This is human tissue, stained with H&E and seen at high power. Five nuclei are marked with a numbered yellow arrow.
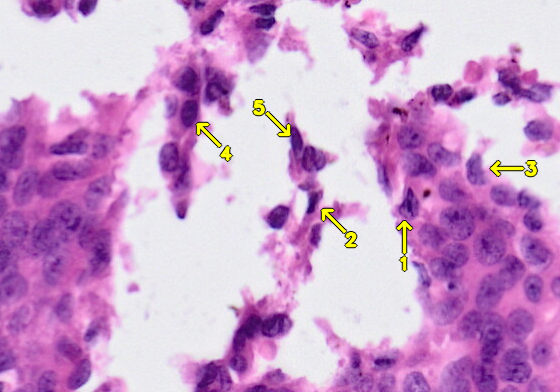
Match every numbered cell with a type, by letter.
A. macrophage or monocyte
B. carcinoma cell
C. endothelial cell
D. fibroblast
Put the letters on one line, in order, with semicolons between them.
A; A; A; B; B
